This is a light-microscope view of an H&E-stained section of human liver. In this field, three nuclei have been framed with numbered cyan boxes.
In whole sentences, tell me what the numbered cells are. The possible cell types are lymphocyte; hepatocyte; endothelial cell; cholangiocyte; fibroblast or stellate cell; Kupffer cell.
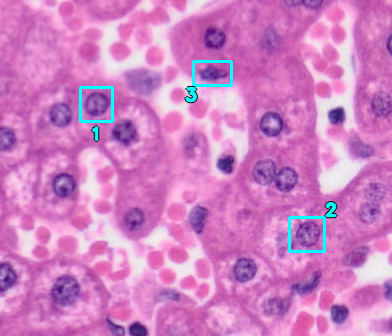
Cell 1 is a hepatocyte, cell 2 is a hepatocyte and cell 3 is a fibroblast or stellate cell.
